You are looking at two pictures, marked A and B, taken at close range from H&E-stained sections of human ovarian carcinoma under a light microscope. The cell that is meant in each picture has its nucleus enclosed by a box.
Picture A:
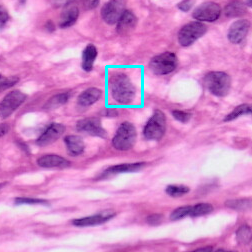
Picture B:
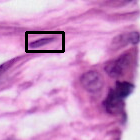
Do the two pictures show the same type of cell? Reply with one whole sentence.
No, picture A shows a carcinoma cell and picture B shows a fibroblast.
